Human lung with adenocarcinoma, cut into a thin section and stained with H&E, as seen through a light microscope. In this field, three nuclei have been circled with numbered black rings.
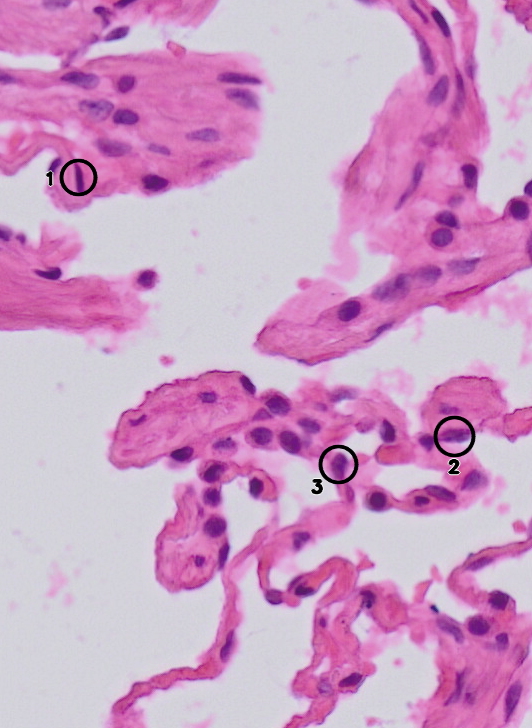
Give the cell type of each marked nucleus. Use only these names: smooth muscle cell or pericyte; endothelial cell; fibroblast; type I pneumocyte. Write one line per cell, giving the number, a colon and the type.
1: endothelial cell
2: type I pneumocyte
3: type I pneumocyte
